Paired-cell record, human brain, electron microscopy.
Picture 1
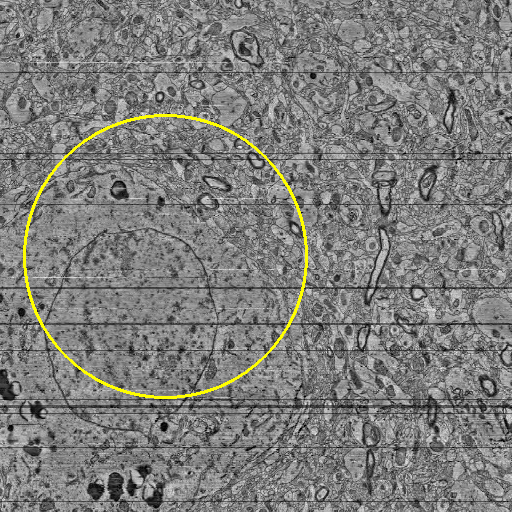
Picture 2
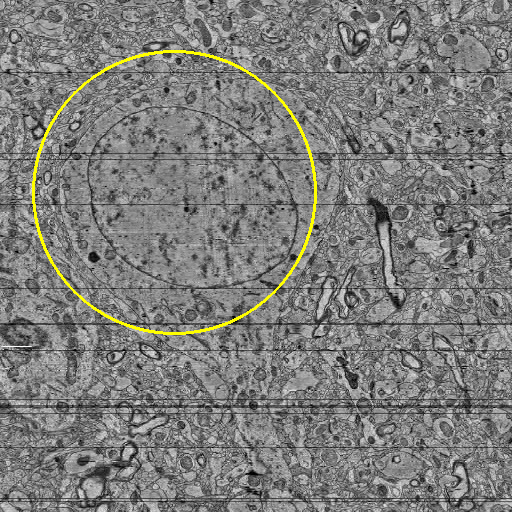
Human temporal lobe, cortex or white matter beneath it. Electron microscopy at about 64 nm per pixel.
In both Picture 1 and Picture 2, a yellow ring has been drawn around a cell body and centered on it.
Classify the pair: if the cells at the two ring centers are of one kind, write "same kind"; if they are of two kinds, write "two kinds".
same kind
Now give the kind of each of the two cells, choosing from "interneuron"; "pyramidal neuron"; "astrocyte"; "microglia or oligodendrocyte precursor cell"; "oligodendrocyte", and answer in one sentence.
In each picture the ringed cell is a pyramidal neuron.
